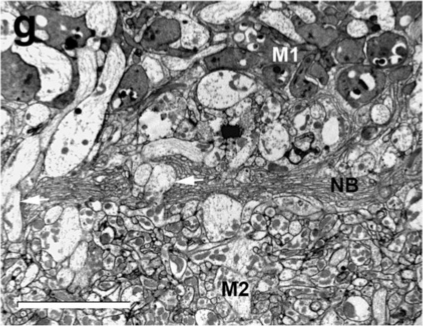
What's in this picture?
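The upper region is coarse, with large pale profiles and darker profiles, some holding vacuoles and very dark inclusions. Across the middle runs a narrow horizontal band of fine, tightly packed fibres. Below it the tissue is made of many small, rounded profiles of a finer texture. Pale profiles like those above lie at the edges of the band and reach toward the lower region.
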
